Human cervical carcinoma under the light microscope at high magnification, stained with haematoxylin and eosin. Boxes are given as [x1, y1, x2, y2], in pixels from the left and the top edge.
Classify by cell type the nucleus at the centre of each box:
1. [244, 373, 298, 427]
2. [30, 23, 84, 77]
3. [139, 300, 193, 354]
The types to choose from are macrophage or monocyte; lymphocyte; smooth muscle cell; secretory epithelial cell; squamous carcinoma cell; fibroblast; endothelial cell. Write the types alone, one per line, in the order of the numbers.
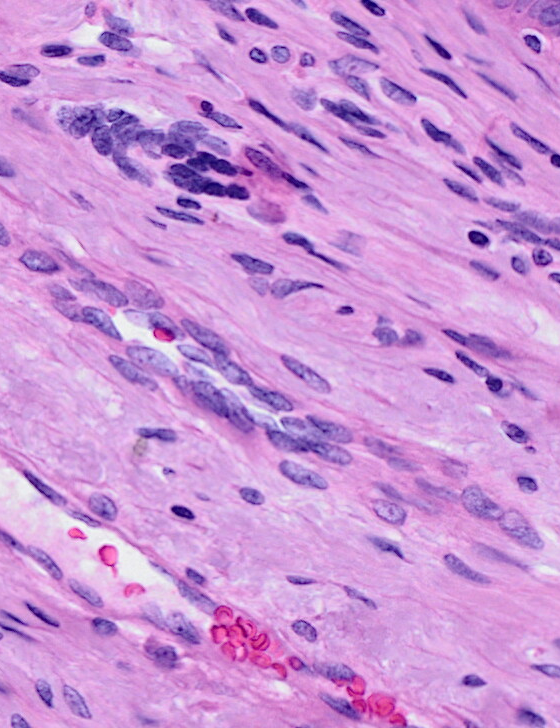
endothelial cell
lymphocyte
endothelial cell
